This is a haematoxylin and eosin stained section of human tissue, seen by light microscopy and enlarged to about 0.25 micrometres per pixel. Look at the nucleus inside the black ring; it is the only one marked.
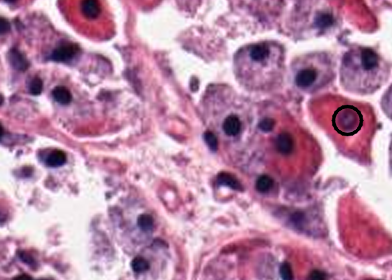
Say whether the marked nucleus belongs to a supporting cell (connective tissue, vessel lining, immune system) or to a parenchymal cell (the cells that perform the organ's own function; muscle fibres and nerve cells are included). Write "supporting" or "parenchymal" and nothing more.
parenchymal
